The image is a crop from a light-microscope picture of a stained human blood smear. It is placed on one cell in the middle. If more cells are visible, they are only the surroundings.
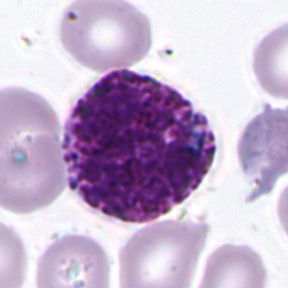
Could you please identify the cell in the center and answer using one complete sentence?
This crop's central cell is a basophil.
